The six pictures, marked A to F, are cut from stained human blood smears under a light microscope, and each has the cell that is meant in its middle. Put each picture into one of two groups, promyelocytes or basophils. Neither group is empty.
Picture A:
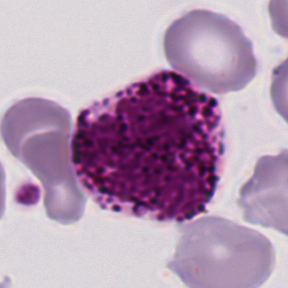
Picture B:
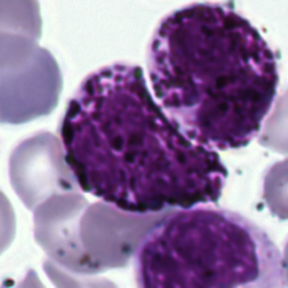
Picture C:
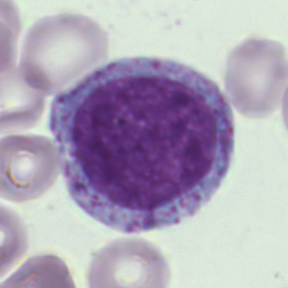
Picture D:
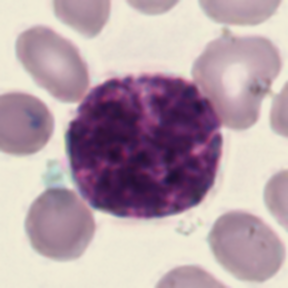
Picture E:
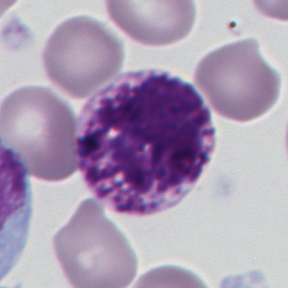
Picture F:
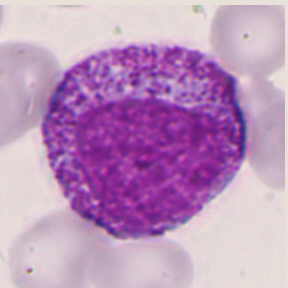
A: basophil
B: basophil
C: promyelocyte
D: basophil
E: basophil
F: promyelocyte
